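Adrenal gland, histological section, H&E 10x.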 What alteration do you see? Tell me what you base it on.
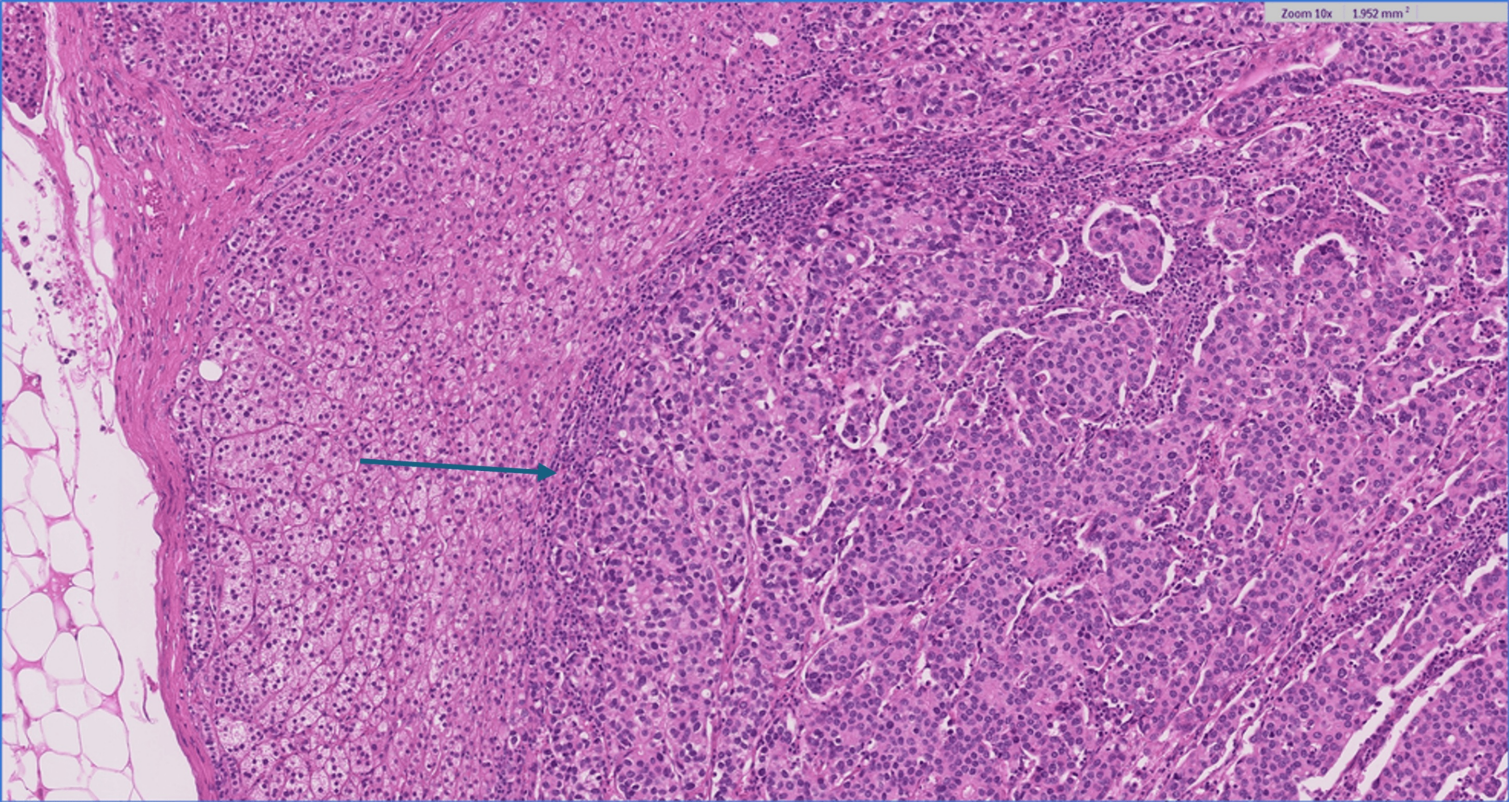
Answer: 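On the right, crowded cells form rounded solid clusters and elongated strands. Thin clefts and slit-like spaces separate the clusters. That points to this answer: solid nests or cords.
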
